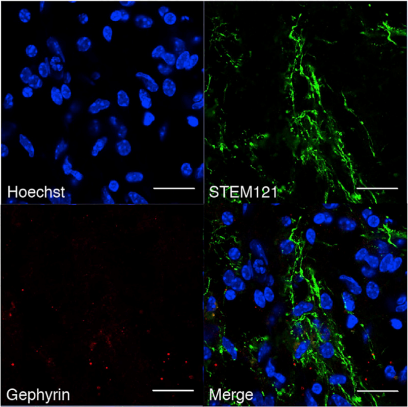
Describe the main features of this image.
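The green processes are thin, beaded and wavy, gathered into a loose bundle that runs from the top toward the lower middle of the field. Between and around them lie many blue nuclei. The red dots are tiny and sparse. They are scattered across the tissue, and a few lie right beside the green processes.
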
